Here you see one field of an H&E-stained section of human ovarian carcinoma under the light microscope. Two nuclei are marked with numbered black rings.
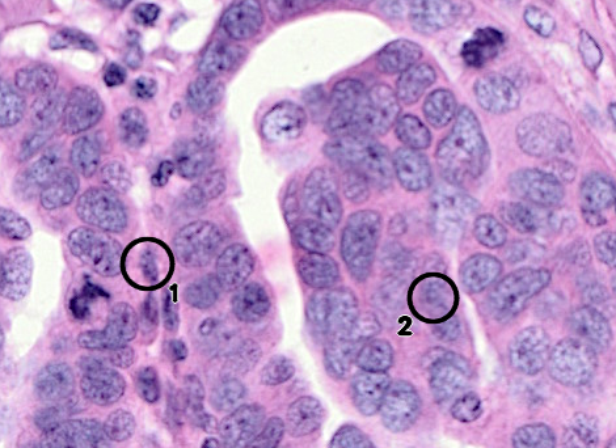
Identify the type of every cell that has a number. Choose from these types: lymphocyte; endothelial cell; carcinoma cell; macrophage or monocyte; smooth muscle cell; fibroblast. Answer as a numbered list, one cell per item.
1. macrophage or monocyte
2. carcinoma cell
